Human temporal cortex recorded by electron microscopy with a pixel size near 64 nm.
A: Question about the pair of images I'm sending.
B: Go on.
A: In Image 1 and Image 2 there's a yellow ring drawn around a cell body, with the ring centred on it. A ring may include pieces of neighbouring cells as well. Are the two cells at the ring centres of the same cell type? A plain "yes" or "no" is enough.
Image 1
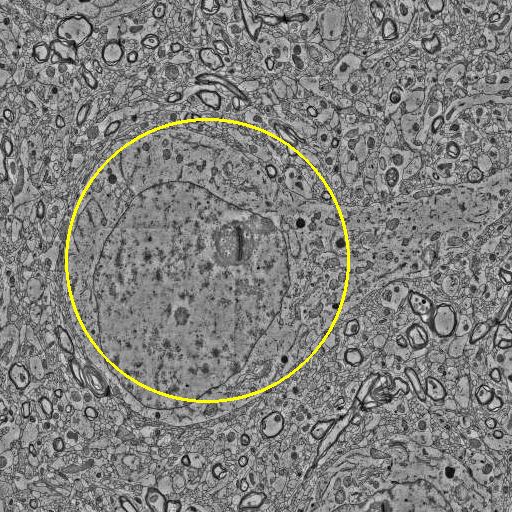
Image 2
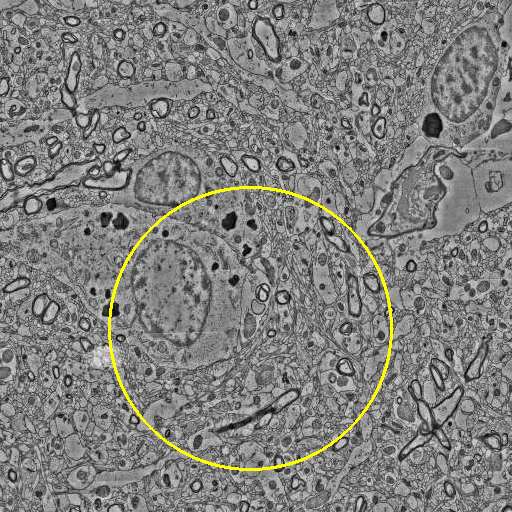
no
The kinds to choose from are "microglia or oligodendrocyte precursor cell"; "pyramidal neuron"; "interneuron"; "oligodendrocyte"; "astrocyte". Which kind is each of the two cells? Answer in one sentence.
Of the two, the first cell is a pyramidal neuron and the second cell is an oligodendrocyte.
